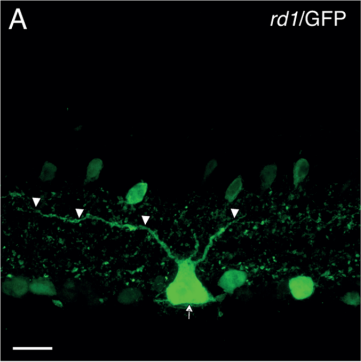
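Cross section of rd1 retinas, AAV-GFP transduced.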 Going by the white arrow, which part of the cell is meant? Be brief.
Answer: Soma.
